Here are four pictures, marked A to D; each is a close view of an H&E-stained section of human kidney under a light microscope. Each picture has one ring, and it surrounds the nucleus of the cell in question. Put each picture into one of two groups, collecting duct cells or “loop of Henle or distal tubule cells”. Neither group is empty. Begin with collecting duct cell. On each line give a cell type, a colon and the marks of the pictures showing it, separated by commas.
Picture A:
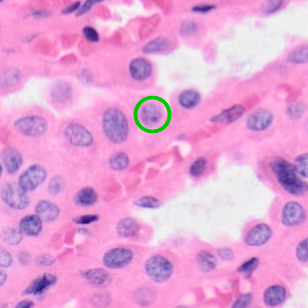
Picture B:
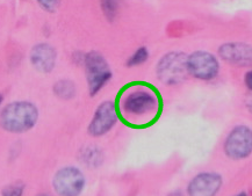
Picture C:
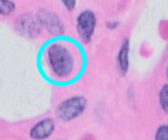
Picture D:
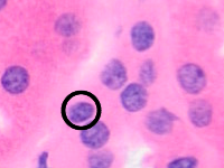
collecting duct cell: B, C, D
loop of Henle or distal tubule cell: A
